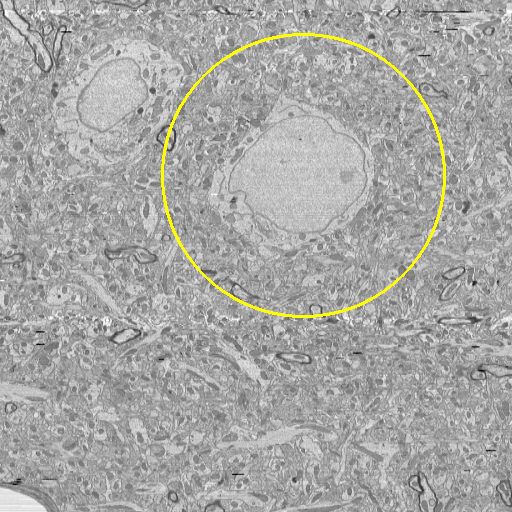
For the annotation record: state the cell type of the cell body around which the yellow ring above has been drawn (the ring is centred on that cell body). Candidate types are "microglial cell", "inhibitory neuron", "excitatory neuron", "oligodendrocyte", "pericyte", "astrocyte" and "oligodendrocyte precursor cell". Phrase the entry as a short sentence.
The ringed cell is an excitatory neuron.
